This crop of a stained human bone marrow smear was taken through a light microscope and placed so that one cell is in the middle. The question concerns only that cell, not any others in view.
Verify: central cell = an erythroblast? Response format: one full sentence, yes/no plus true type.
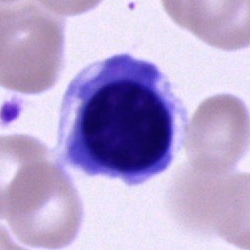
Yes, the cell in the exact middle is an erythroblast.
